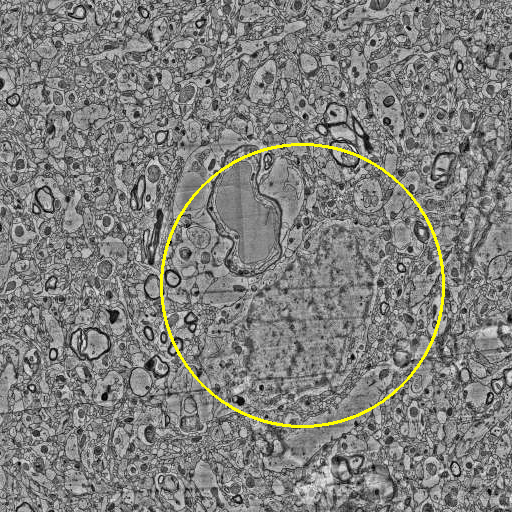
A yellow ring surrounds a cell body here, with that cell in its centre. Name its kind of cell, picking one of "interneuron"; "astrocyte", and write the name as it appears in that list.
interneuron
